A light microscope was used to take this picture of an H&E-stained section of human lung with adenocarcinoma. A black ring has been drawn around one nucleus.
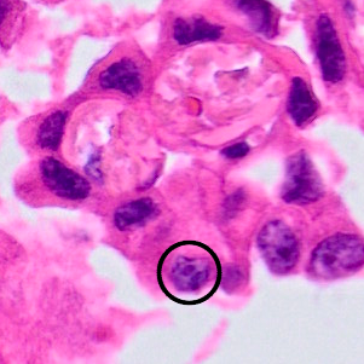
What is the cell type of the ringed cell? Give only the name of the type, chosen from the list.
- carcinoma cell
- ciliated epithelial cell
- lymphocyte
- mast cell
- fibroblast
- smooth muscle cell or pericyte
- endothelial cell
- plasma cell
carcinoma cell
